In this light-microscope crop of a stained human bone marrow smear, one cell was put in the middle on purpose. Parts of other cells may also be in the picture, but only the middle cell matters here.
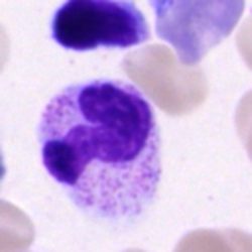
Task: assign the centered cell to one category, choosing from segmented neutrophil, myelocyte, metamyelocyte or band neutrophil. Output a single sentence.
Here the centrally located cell is a segmented neutrophil.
